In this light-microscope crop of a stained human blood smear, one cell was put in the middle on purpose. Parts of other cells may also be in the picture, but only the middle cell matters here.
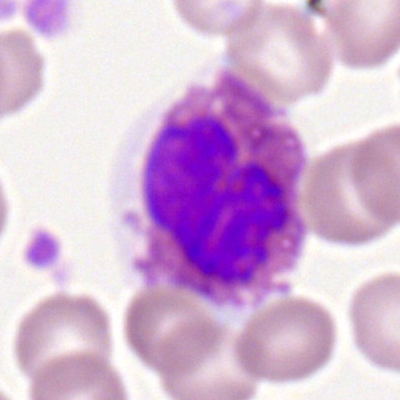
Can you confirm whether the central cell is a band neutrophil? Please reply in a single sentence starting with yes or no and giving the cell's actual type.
No, at the middle of the crop is an eosinophil, not a band neutrophil.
